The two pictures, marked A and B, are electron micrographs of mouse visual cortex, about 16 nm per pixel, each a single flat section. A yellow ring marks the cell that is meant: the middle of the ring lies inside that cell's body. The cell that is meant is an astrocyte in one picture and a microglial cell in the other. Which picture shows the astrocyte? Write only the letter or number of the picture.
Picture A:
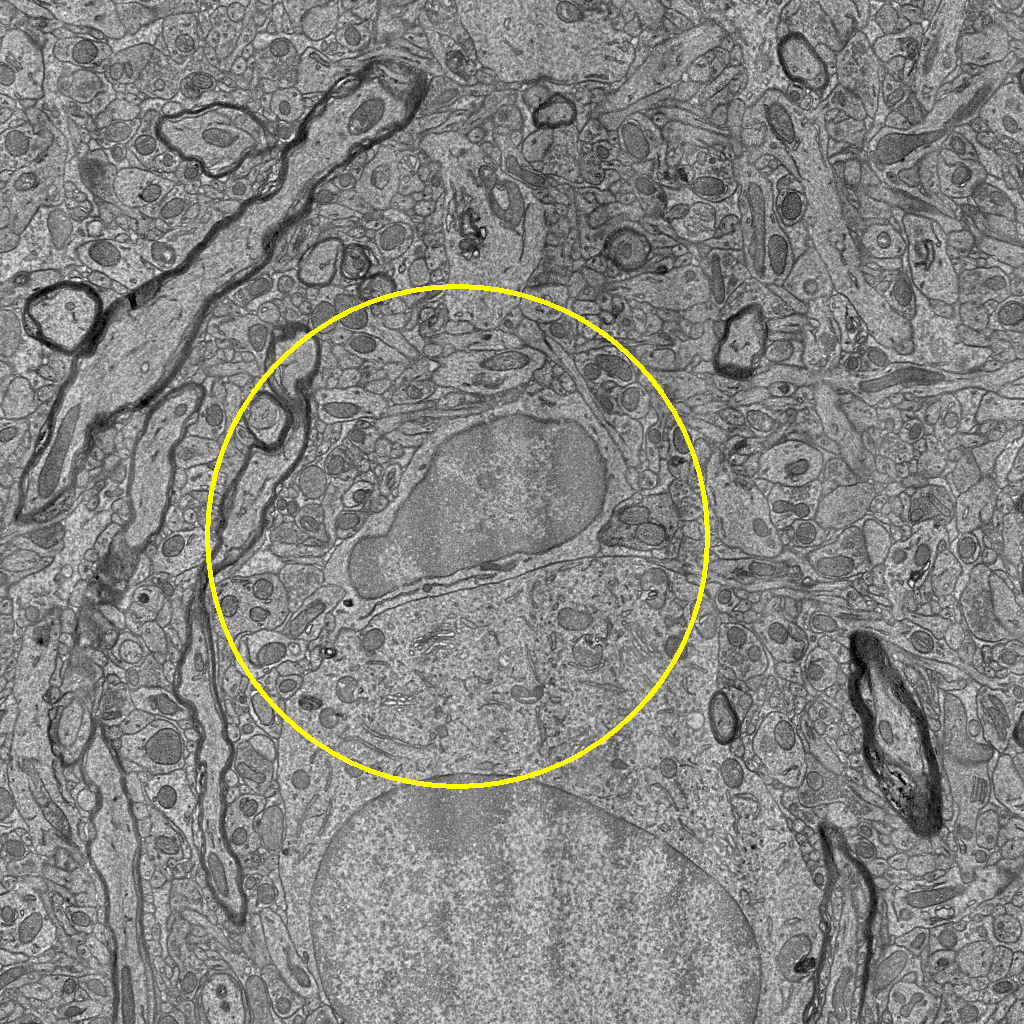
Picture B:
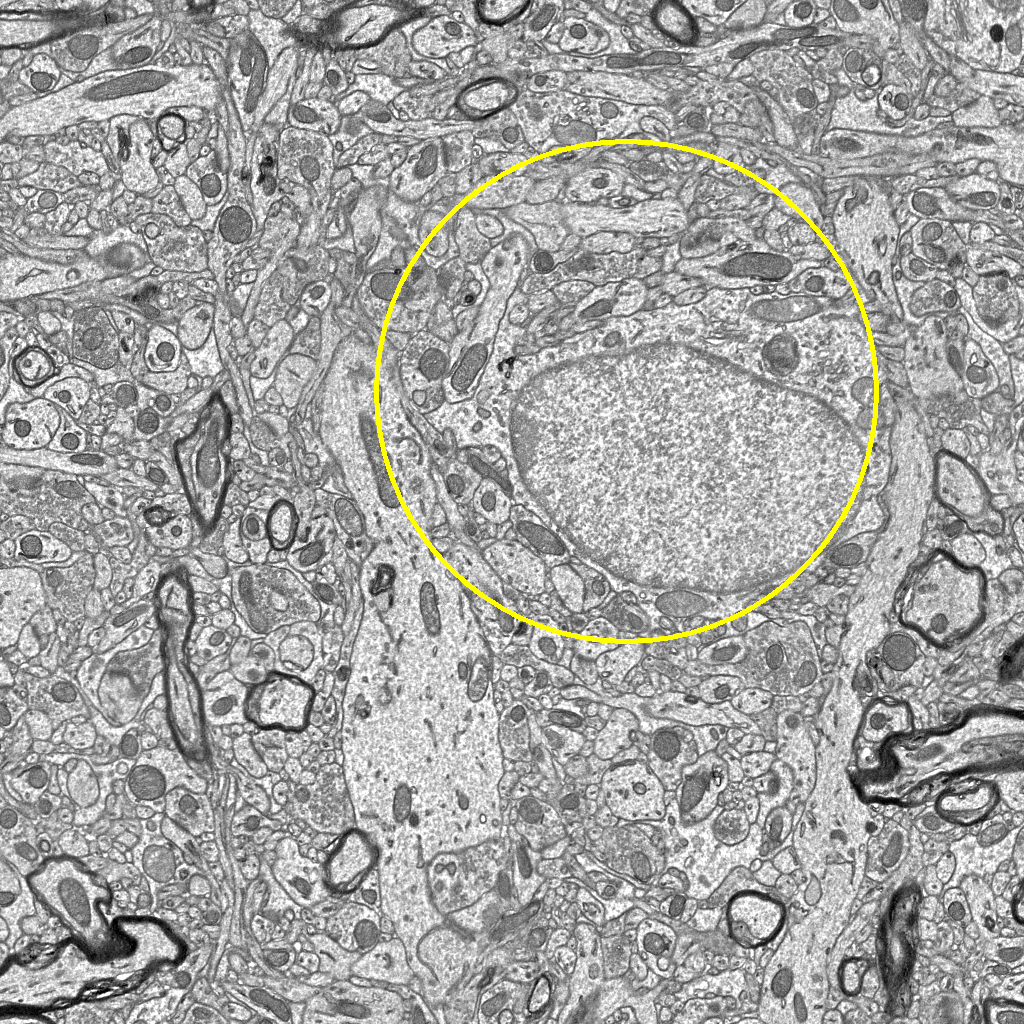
B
